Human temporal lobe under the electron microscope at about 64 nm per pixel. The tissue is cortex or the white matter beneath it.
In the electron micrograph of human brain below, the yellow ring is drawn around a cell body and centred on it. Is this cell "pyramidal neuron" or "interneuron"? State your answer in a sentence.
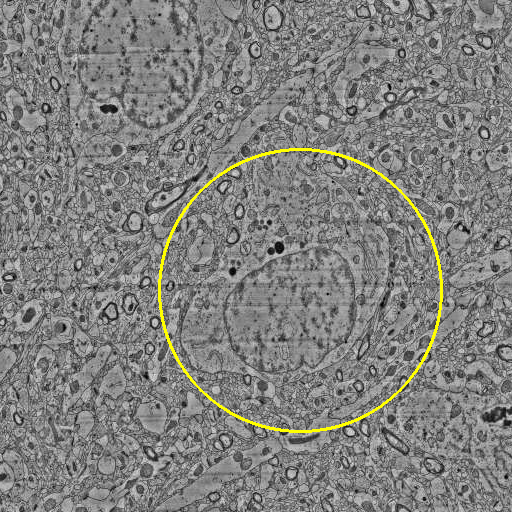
The cell in the middle of the ring is an interneuron.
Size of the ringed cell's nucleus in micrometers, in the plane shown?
In this plane, roughly 9 by 8 micrometres.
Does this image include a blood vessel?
No, no blood vessel shows in the picture.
